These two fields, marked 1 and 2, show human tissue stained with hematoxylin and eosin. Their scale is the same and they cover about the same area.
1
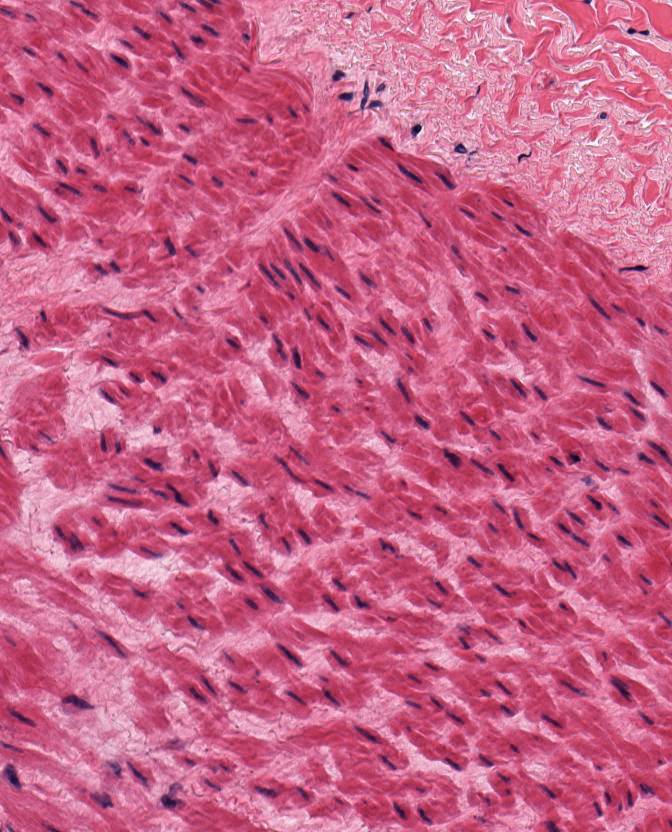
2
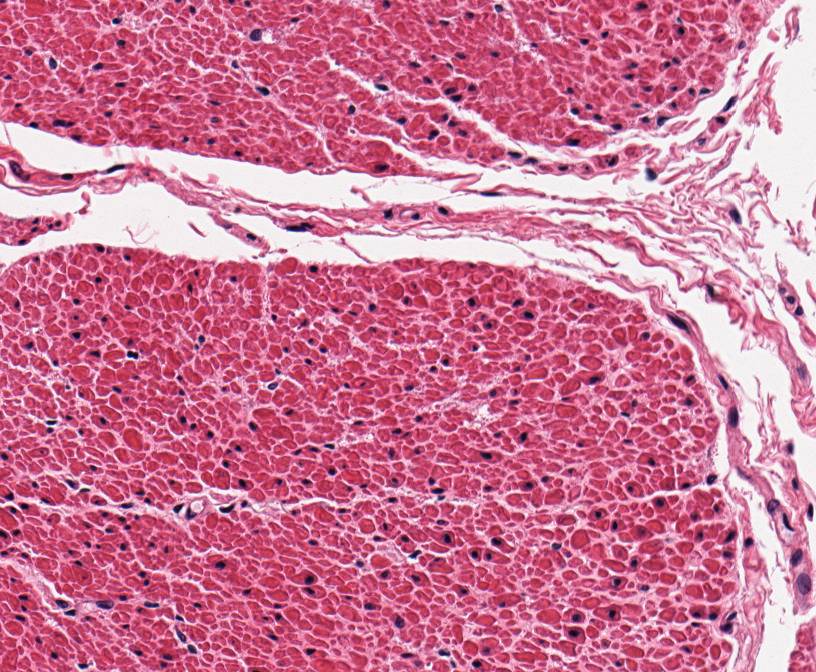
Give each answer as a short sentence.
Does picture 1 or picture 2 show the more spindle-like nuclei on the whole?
On the whole the nuclei of picture 1 are more drawn out than those of picture 2.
